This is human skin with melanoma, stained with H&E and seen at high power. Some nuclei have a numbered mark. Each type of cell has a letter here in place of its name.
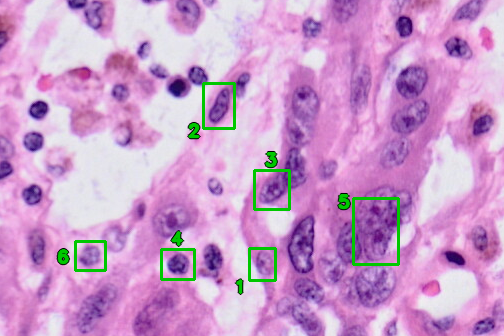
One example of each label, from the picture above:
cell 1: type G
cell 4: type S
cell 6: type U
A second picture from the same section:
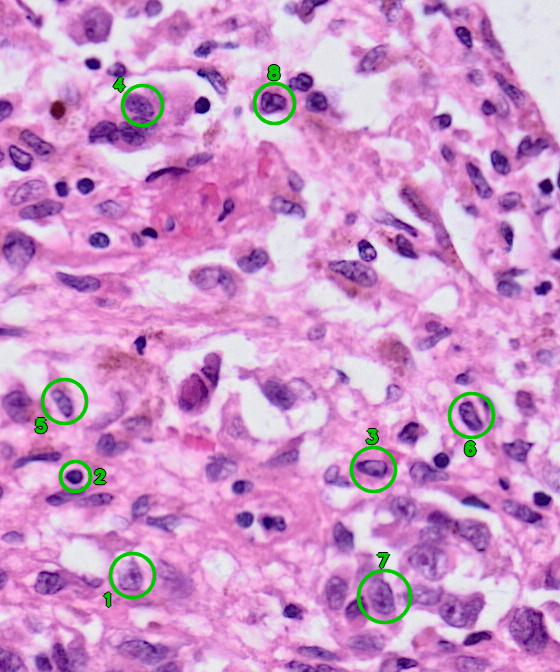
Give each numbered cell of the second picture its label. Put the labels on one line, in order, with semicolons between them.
type G; type S; type U; type G; type U; type U; type G; type U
